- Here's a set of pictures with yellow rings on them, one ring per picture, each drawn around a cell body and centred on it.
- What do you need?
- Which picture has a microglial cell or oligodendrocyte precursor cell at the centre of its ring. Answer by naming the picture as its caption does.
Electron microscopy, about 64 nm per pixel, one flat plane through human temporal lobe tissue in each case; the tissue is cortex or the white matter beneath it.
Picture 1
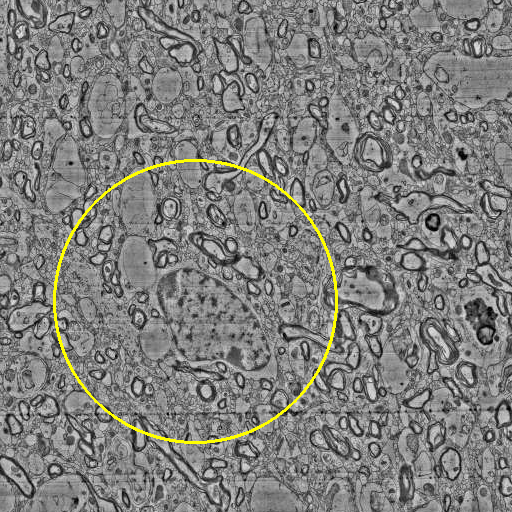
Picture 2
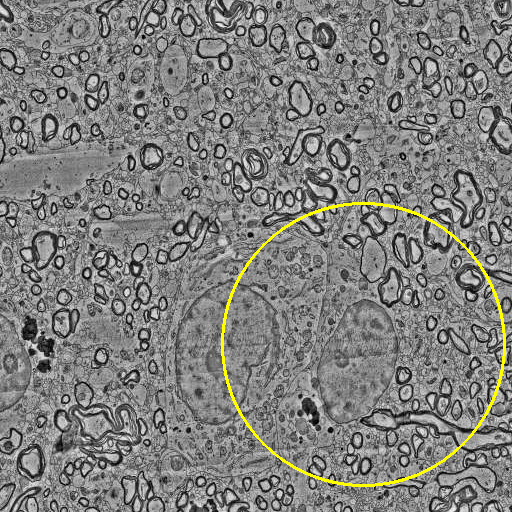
Picture 1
